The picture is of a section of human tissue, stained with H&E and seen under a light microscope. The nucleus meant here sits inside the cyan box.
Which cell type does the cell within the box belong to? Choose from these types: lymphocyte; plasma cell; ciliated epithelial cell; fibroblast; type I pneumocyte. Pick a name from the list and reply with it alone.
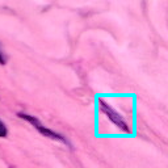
fibroblast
